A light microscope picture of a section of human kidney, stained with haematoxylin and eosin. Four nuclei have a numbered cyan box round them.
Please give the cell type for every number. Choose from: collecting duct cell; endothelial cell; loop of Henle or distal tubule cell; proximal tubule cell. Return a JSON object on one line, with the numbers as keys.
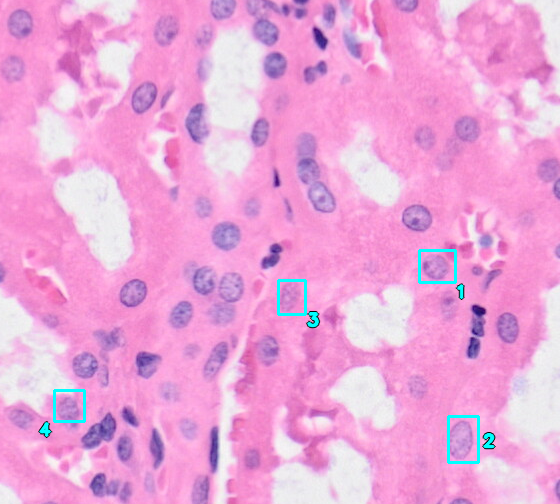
{"1": "proximal tubule cell", "2": "proximal tubule cell", "3": "proximal tubule cell", "4": "loop of Henle or distal tubule cell"}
